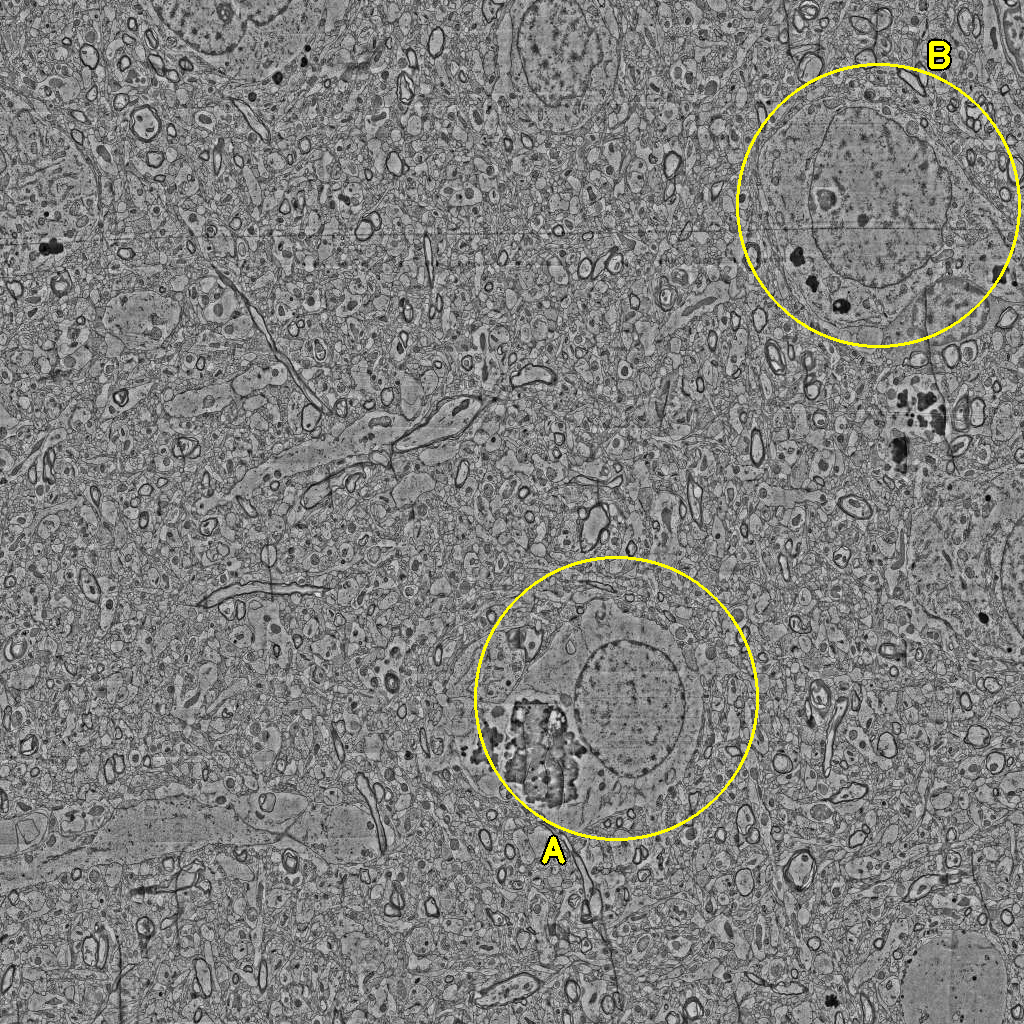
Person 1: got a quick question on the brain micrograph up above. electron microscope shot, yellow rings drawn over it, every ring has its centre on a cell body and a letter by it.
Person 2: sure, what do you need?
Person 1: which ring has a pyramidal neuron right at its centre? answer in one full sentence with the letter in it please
In that picture, ring B is centred on the cell asked for.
